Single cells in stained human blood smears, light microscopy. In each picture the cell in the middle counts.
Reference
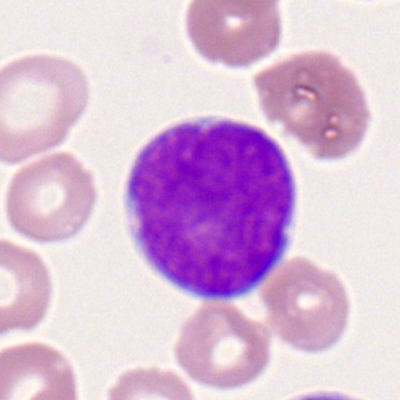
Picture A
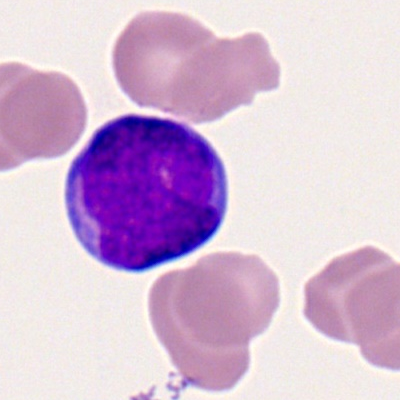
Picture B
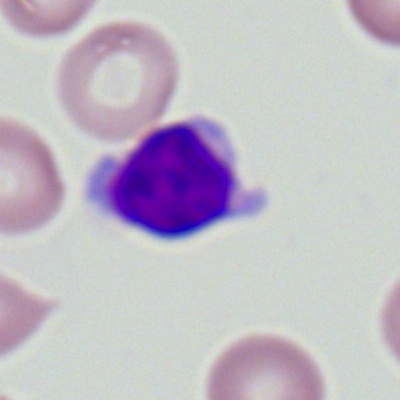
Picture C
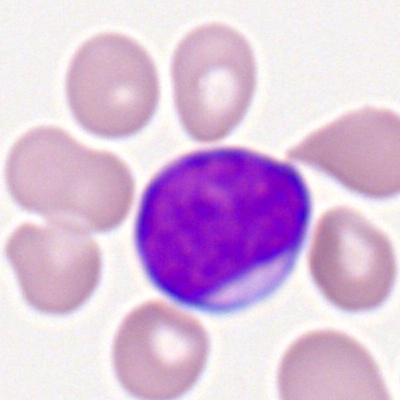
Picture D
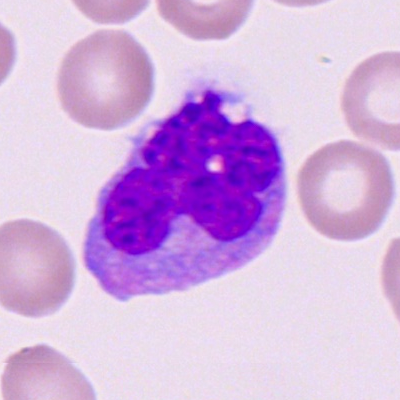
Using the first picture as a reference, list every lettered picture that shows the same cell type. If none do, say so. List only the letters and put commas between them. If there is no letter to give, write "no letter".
A, C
